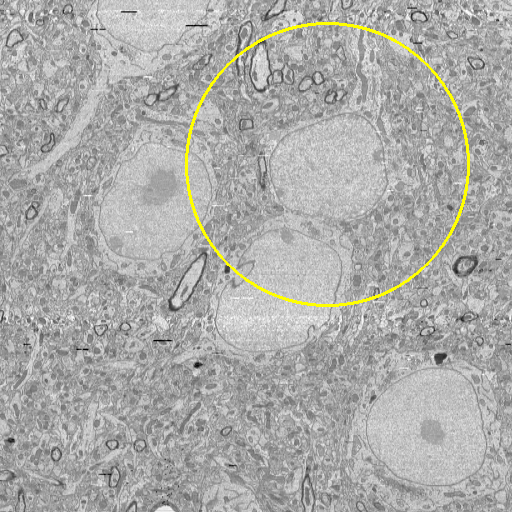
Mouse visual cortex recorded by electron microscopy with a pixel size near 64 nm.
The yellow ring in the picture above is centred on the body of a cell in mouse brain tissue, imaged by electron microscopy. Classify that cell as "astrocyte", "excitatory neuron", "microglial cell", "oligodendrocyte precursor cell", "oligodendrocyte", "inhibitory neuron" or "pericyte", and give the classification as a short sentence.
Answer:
The cell in the middle of the ring is an astrocyte.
